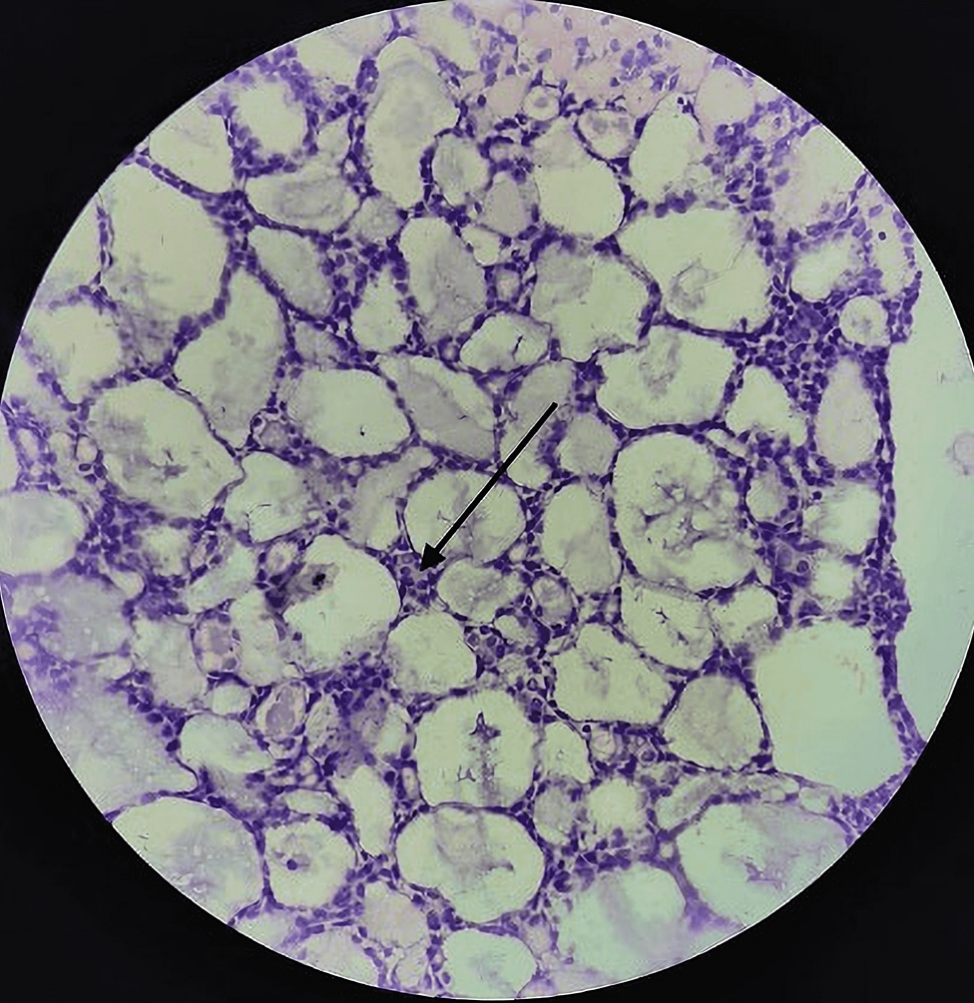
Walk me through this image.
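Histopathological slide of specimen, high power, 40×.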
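Tumour tissue made of small basaloid cells arranged around many rounded, cyst-like spaces, giving a sieve-like pattern. The cells have dark purple, hyperchromatic nuclei and scant cytoplasm, and form thin cords and denser clusters between the spaces. The spaces vary in size and hold pale, faintly bluish material.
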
